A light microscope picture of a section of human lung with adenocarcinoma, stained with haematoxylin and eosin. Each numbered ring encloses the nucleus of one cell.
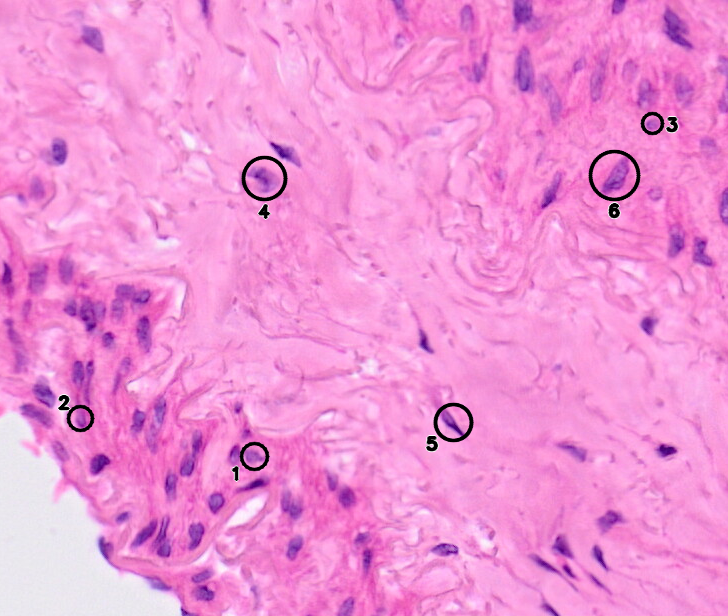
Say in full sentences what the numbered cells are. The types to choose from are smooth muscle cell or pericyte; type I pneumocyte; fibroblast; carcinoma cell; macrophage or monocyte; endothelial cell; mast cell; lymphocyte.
Cell 1 is a smooth muscle cell or pericyte, cell 2 is a smooth muscle cell or pericyte, cell 3 is a smooth muscle cell or pericyte, cell 4 is a fibroblast, cell 5 is a fibroblast and cell 6 is a smooth muscle cell or pericyte.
